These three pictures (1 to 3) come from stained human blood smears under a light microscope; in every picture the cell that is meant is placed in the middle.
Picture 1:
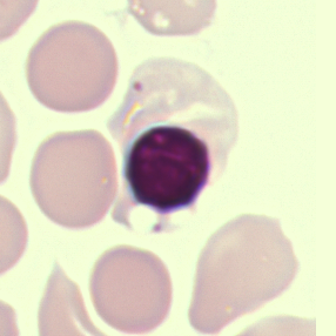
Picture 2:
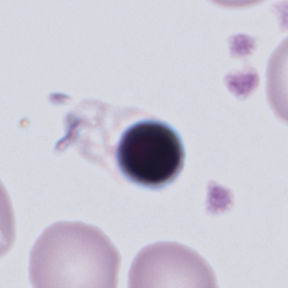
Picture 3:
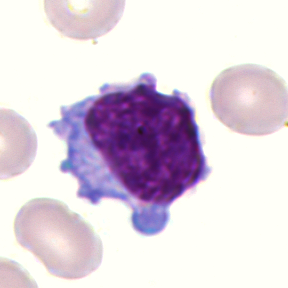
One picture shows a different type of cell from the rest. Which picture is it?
3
